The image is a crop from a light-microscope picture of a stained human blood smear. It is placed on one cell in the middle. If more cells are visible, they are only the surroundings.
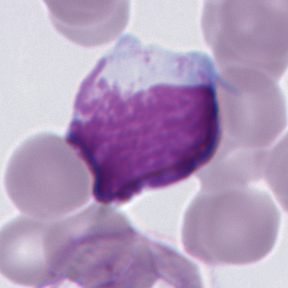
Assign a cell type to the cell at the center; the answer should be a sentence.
The cell at the central position in this crop is a large granular lymphocyte.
